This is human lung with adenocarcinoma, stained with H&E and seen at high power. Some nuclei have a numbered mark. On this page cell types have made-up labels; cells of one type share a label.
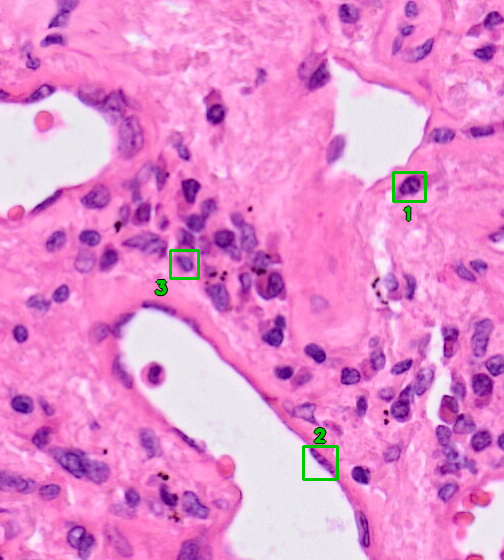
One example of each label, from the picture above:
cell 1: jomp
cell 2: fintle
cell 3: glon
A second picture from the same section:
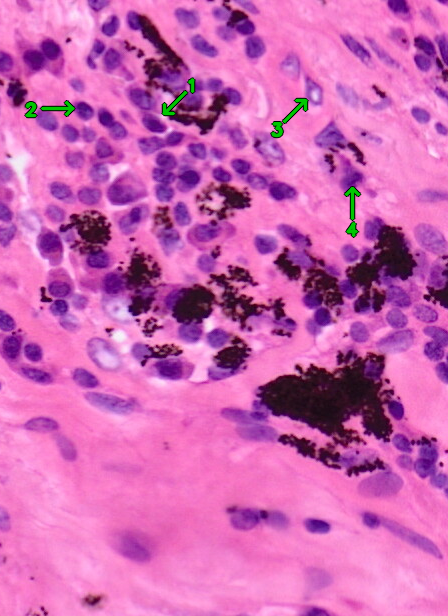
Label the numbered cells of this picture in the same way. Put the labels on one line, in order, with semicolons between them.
glon; glon; fintle; jomp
